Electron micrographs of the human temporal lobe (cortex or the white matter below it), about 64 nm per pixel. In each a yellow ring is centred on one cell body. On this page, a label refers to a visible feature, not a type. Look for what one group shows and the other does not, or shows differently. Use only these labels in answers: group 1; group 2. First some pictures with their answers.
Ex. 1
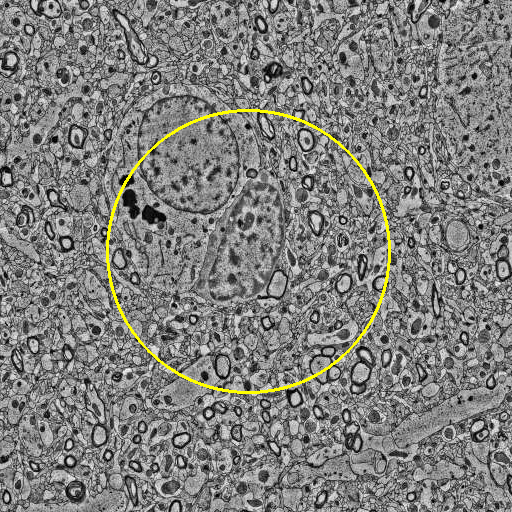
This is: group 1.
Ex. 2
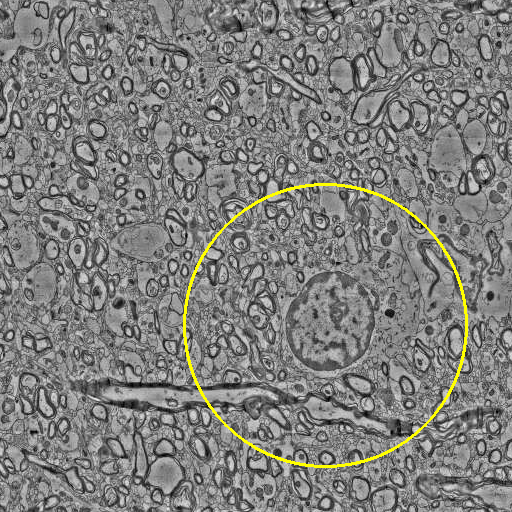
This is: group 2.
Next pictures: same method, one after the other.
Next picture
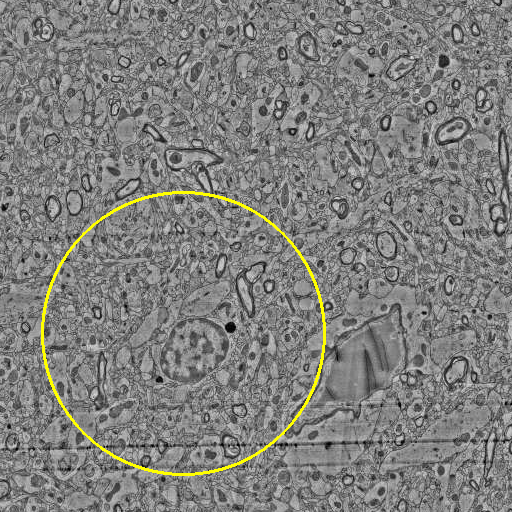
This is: group 2.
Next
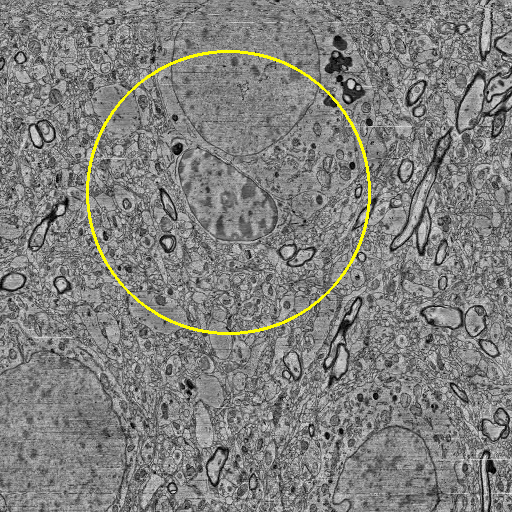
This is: group 1.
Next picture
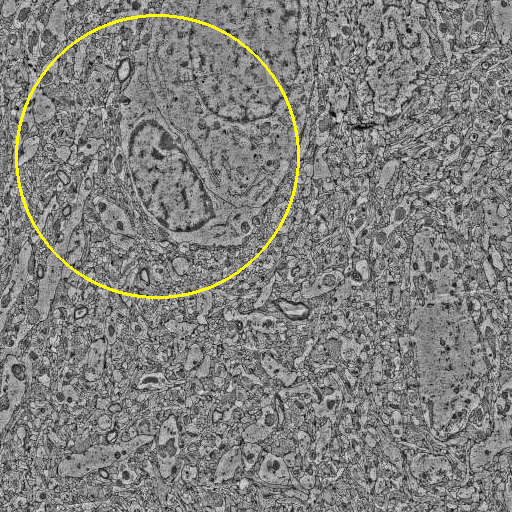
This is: group 1.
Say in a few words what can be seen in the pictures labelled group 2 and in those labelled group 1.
In group 2: round or nearly round nuclei. In group 1: clearly elongated nuclei.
